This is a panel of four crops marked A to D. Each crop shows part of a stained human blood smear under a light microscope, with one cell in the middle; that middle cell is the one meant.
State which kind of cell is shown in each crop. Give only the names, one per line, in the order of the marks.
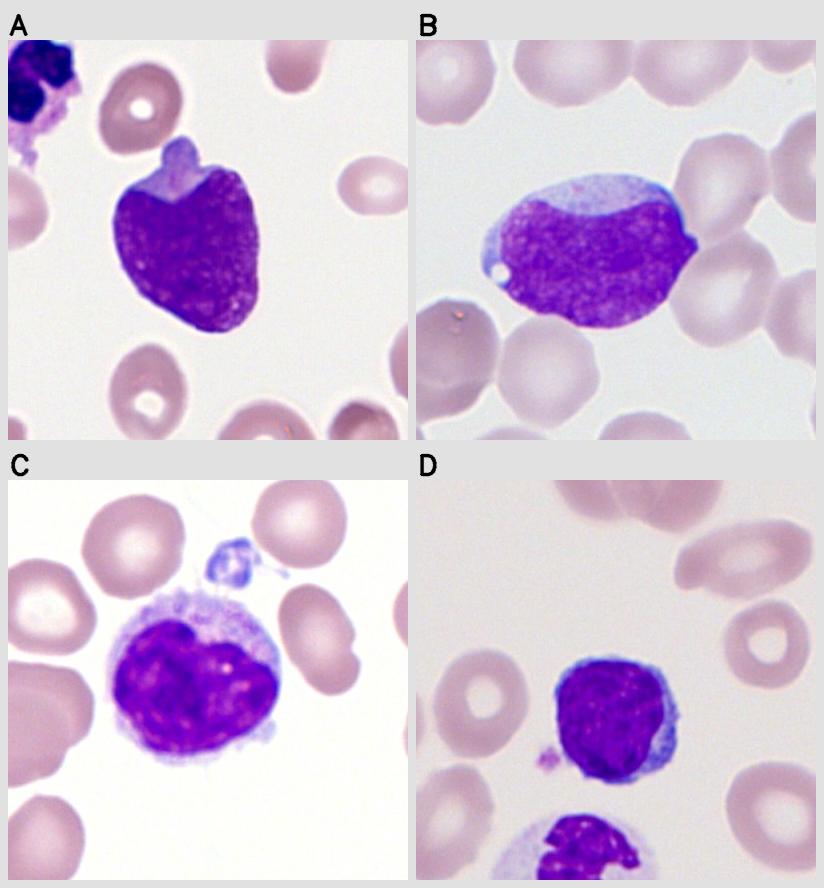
myeloblast
myeloblast
lymphocyte
lymphocyte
